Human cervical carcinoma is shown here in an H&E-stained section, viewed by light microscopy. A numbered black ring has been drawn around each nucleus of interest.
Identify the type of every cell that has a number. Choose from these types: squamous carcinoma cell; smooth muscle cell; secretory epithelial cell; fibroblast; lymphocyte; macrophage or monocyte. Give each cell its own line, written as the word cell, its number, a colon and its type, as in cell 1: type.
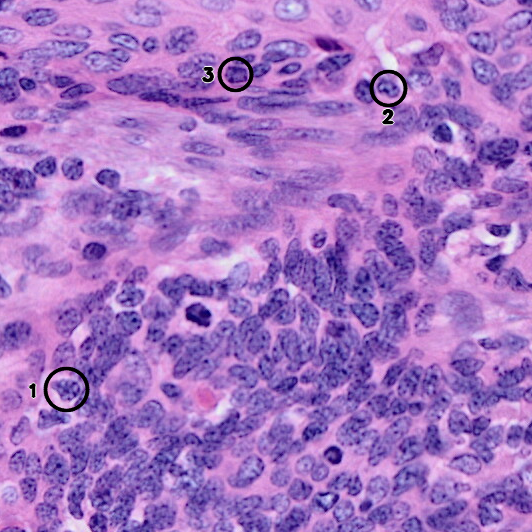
cell 1: lymphocyte
cell 2: squamous carcinoma cell
cell 3: squamous carcinoma cell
